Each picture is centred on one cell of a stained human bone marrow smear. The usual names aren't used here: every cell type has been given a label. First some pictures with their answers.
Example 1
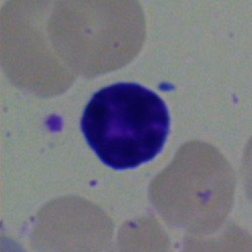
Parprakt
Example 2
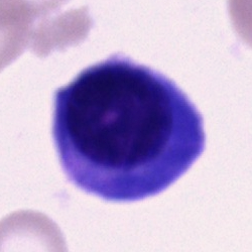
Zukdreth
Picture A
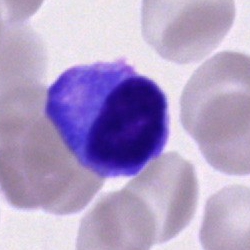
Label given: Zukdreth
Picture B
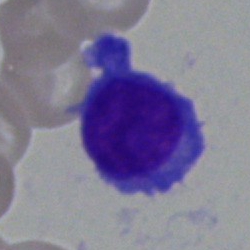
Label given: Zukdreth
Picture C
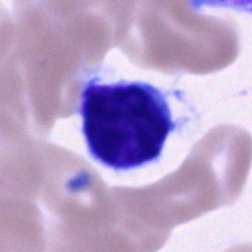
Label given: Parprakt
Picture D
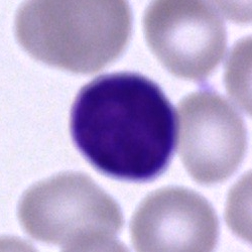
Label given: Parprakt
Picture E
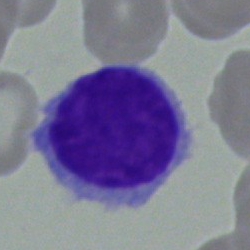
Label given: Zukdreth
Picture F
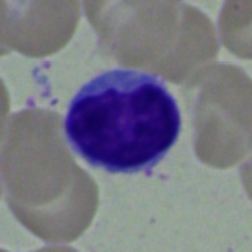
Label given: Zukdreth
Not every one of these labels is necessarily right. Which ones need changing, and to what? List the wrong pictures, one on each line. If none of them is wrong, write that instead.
E is labelled Zukdreth; correct label: Parprakt
F is labelled Zukdreth; correct label: Parprakt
